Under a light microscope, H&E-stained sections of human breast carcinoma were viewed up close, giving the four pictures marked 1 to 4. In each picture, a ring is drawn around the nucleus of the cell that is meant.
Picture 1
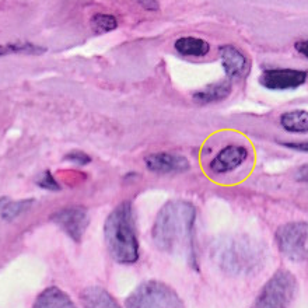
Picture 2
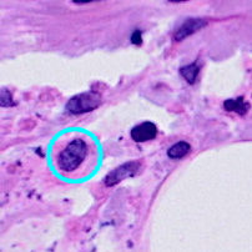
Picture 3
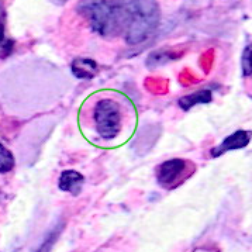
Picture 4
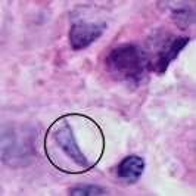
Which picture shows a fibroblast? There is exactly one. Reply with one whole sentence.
The fibroblast is the one in picture 4.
